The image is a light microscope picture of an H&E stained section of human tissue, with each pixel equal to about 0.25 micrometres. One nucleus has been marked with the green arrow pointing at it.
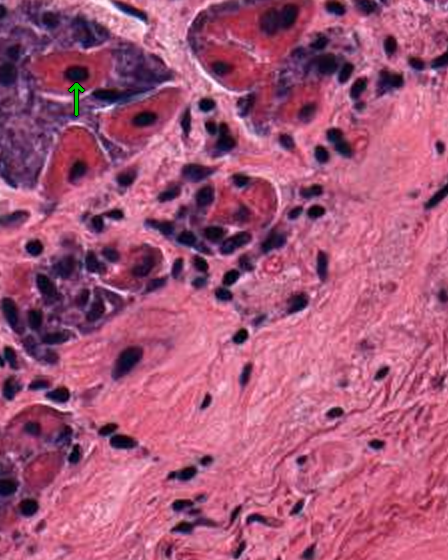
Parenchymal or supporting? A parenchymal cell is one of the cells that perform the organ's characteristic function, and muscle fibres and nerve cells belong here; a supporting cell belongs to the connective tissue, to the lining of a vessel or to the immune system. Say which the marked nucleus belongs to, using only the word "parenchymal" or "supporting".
parenchymal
